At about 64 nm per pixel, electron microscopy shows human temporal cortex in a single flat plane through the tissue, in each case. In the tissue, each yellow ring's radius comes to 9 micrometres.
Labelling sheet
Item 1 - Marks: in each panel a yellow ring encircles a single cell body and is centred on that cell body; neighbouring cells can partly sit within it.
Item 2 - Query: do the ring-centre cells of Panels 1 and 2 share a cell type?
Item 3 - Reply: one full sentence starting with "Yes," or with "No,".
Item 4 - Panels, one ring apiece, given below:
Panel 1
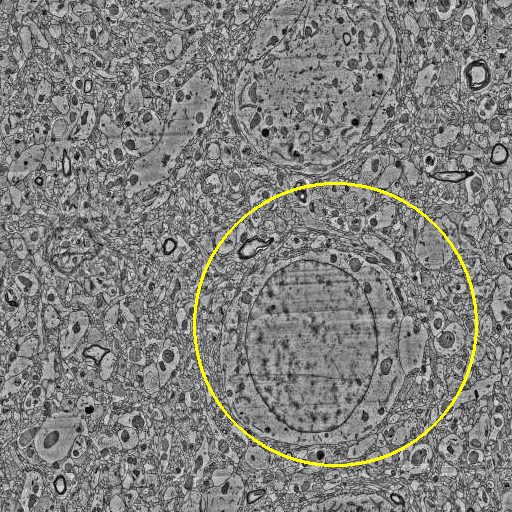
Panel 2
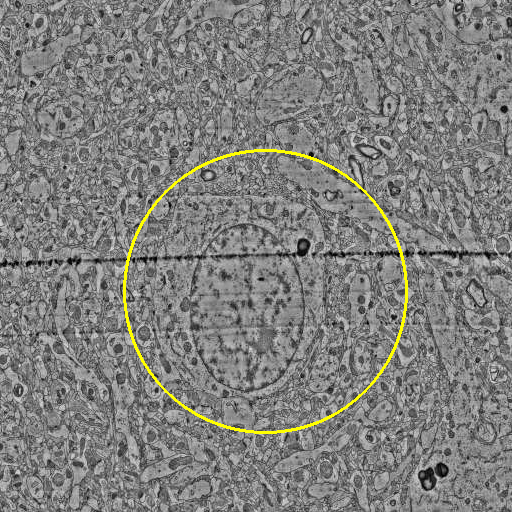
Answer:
Yes, Panel 1 and Panel 2 show one cell type at the centres of their rings.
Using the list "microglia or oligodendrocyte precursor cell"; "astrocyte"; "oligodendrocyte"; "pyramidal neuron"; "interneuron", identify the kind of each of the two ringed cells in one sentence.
In the first picture and in the second, the ring is centred on a pyramidal neuron.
